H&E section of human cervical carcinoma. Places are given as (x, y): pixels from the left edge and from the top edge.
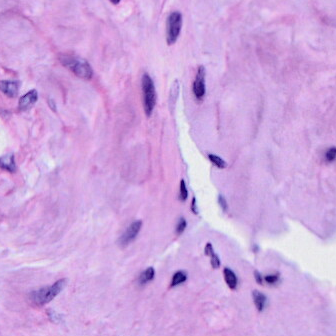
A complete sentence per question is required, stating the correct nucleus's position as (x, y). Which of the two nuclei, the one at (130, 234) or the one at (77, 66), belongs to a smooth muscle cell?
Located at (77, 66), this nucleus is the one belonging to a smooth muscle cell.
